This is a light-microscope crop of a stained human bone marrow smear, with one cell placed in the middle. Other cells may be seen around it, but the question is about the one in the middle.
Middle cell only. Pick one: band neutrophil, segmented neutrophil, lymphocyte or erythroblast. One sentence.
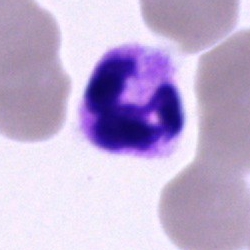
The cell positioned in the middle of the field is a segmented neutrophil.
